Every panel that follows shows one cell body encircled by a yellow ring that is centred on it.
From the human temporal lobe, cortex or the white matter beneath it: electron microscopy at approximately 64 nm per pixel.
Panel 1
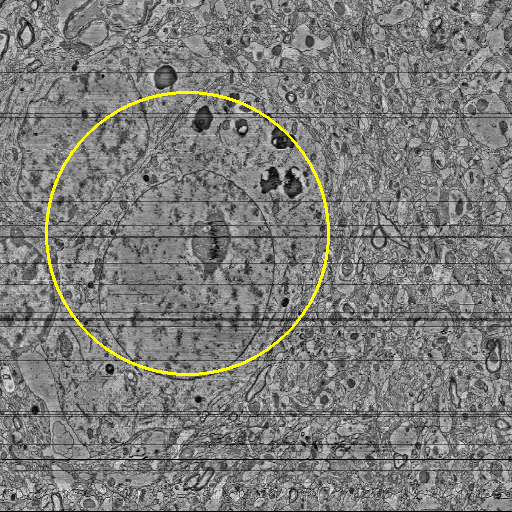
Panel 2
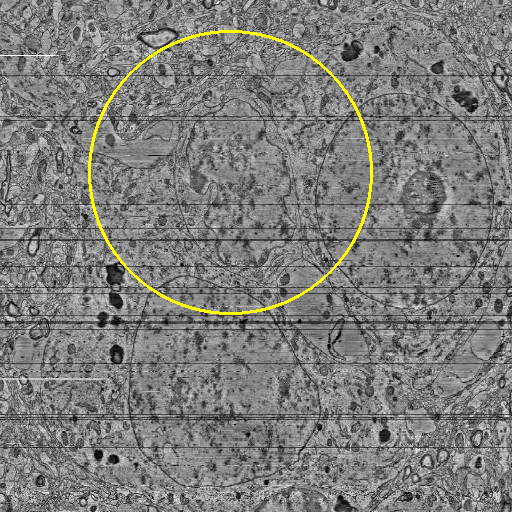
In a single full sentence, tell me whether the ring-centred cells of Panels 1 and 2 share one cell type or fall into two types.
In Panel 1 and Panel 2, the cells at the ring centres fall into two types.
